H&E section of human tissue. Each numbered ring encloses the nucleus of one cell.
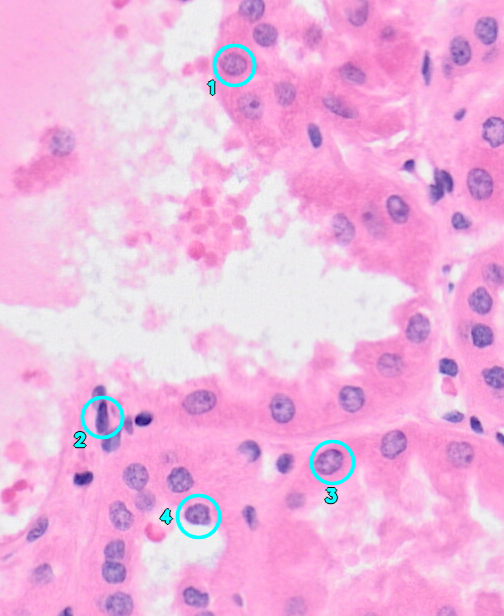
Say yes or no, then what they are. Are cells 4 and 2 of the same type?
No, cell 4 is a loop of Henle or distal tubule cell and cell 2 is an endothelial cell.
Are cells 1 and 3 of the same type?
Yes, both are proximal tubule cells.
